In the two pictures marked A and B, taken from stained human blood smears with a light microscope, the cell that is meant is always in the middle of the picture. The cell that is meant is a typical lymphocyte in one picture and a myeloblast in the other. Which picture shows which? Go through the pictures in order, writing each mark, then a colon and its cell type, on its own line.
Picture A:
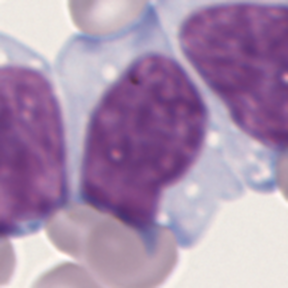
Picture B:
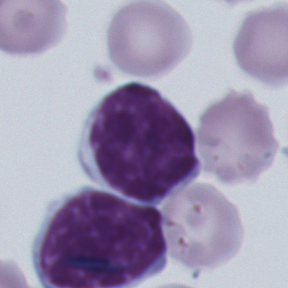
A: myeloblast
B: typical lymphocyte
